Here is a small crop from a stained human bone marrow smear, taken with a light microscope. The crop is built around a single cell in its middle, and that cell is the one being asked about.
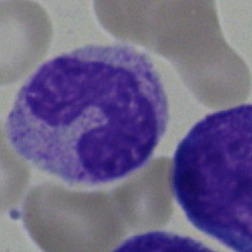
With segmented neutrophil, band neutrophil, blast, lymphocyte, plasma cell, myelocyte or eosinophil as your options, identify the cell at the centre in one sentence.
The crop centres on a single cell, and that cell is a band neutrophil.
